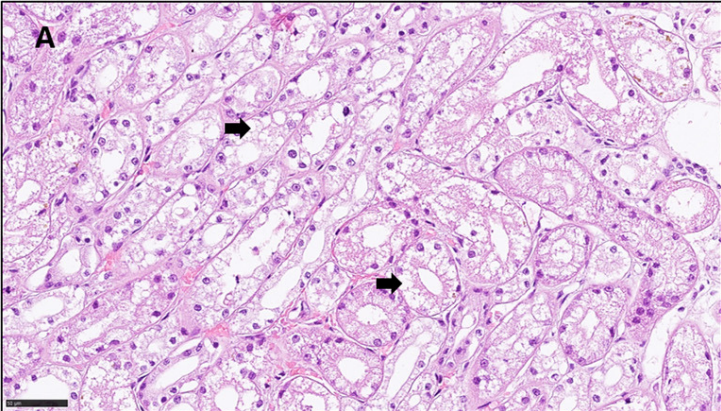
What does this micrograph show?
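Kidney tubules cut mostly in cross-section are lined by cuboidal epithelial cells whose cytoplasm is filled with many small clear vacuoles, giving a pale, foamy appearance. The round nuclei lie within the vacuolated cytoplasm, the lumens are open, and only thin strands of interstitium separate the tubules.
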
